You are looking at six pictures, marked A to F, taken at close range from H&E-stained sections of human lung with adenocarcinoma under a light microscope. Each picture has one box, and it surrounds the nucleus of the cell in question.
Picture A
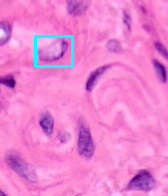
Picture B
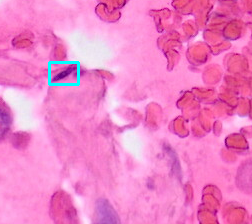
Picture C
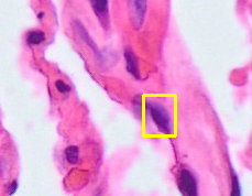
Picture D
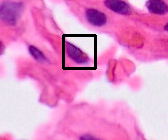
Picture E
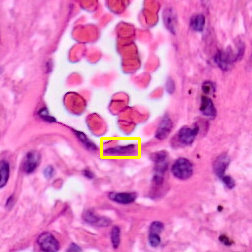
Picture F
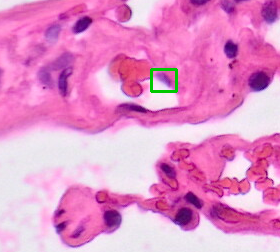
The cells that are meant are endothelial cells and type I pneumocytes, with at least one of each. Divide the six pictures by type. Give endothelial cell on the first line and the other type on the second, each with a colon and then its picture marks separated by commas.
endothelial cell: A, B, E, F
type I pneumocyte: C, D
